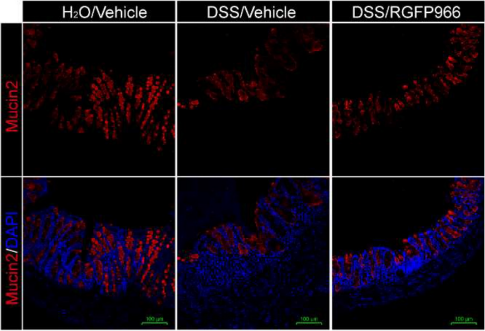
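The images show colonic mucosa with its crypts, where goblet cells appear as rounded red-filled bodies set in rows among blue nuclei of the epithelium. In the left column the red goblet cells are numerous and packed along the crypts, in the middle column they are few and faint, and in the right column they are again plentiful along the mucosal surface.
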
